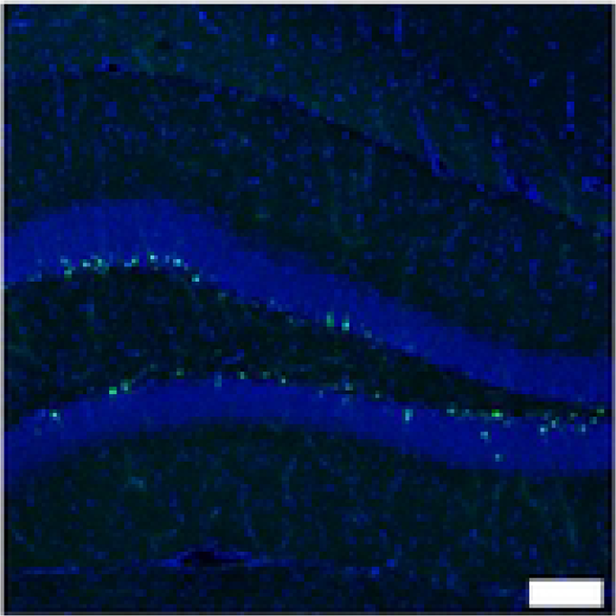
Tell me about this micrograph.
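This fluorescence image shows the dentate gyrus, with its two blades of densely packed granule cell nuclei in blue forming a curved band. The hilus and the surrounding molecular layer contain only sparse blue nuclei.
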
